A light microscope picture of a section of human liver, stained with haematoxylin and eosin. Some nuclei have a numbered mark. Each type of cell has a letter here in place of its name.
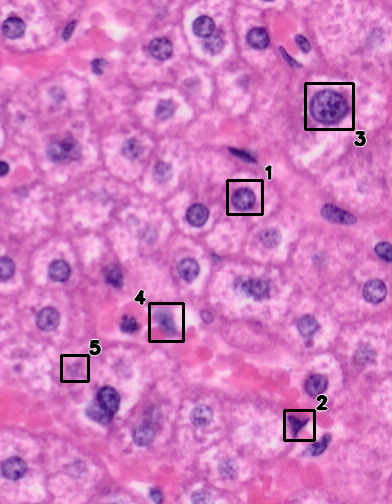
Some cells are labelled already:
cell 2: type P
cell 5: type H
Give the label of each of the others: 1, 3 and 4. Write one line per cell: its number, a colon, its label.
1: type H
3: type H
4: type P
